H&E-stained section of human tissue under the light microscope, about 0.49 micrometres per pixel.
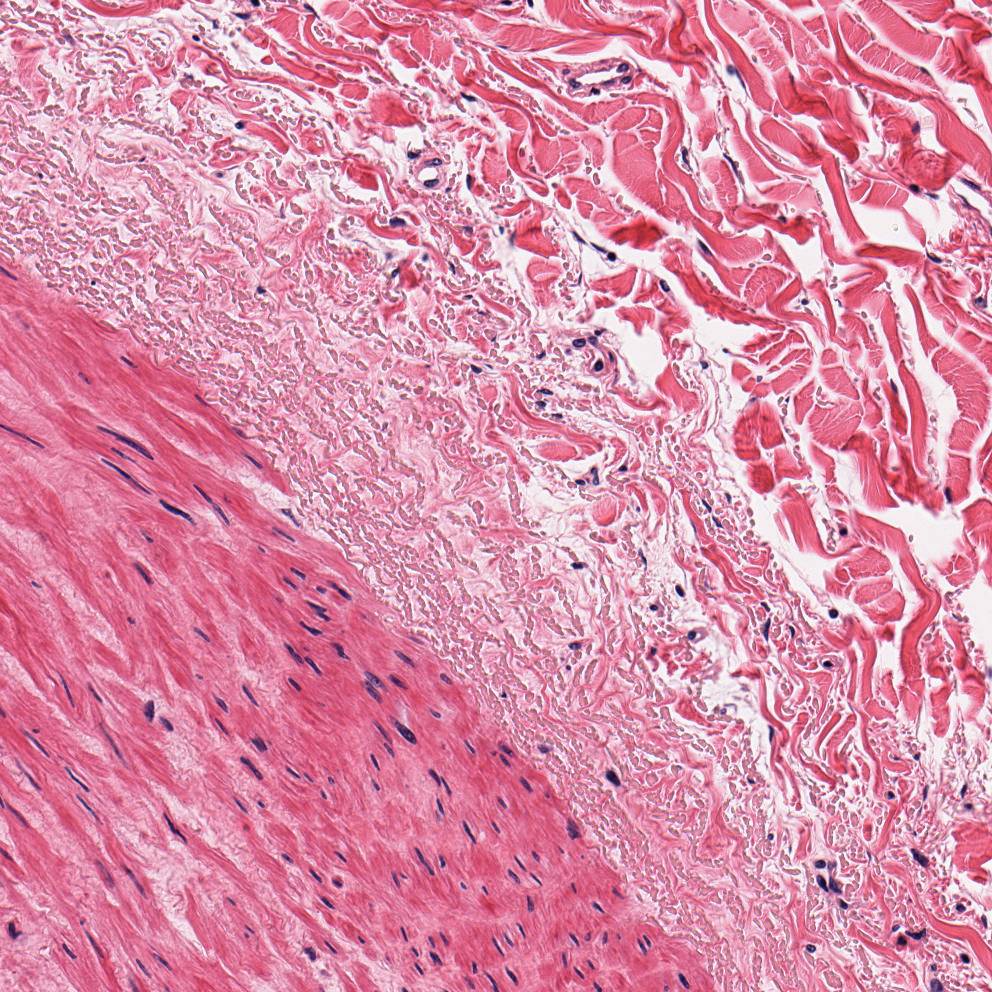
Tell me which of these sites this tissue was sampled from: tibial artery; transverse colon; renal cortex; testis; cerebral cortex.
tibial artery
